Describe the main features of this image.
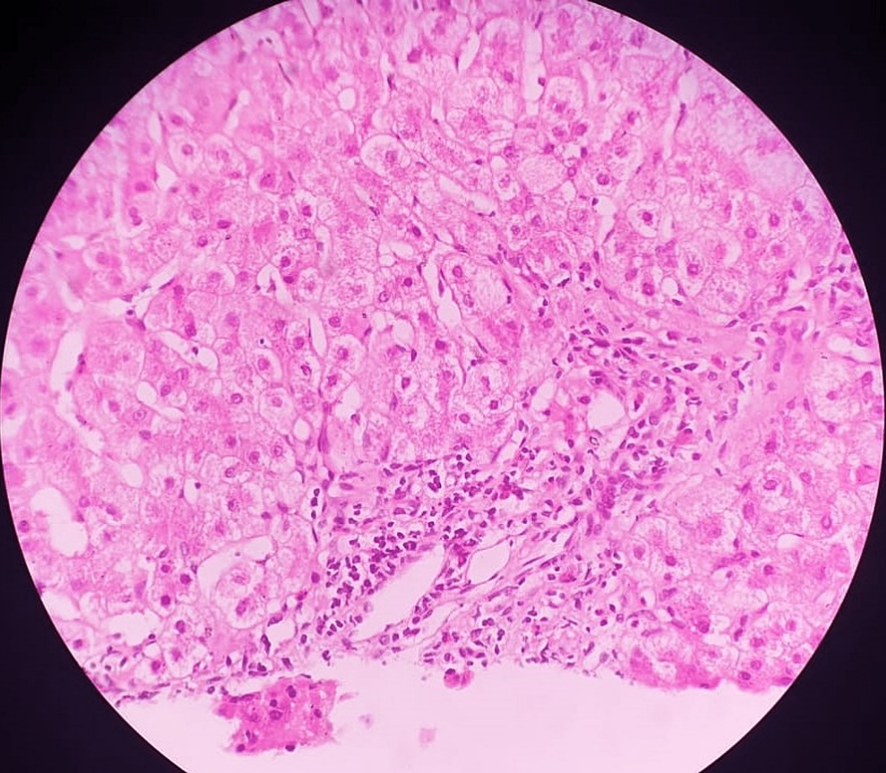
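This is liver tissue, and near the bottom a small portal area is crowded with inflammatory cells. Most of the field is sheets of large polygonal liver cells. They have abundant pale pink cytoplasm that looks finely foamy or cleared. Their round nuclei sit centrally, and many have a visible nucleolus. Narrow clear sinusoidal spaces run between the cell plates. In the lower middle, the cell plates give way to looser connective tissue around a few thin-walled channels. That connective tissue is packed with small cells with dark, condensed, sometimes lobed nuclei. This inflammatory infiltrate spreads a little way into the neighbouring liver cell plates.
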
